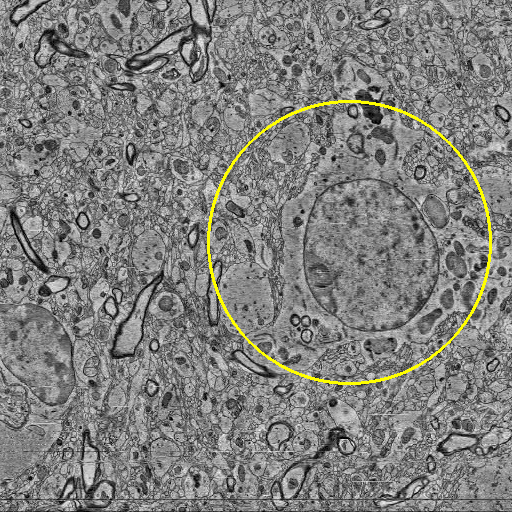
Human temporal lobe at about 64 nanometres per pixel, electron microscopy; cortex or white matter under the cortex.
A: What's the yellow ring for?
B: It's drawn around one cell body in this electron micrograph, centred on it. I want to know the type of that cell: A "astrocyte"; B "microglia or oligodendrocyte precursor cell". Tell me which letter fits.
A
